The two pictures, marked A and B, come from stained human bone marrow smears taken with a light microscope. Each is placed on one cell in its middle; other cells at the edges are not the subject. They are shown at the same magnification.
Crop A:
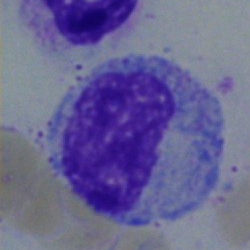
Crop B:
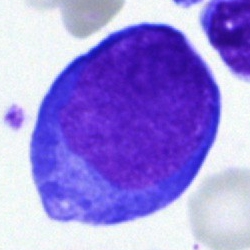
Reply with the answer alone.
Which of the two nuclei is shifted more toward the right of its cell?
B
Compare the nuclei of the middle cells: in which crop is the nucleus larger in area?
B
